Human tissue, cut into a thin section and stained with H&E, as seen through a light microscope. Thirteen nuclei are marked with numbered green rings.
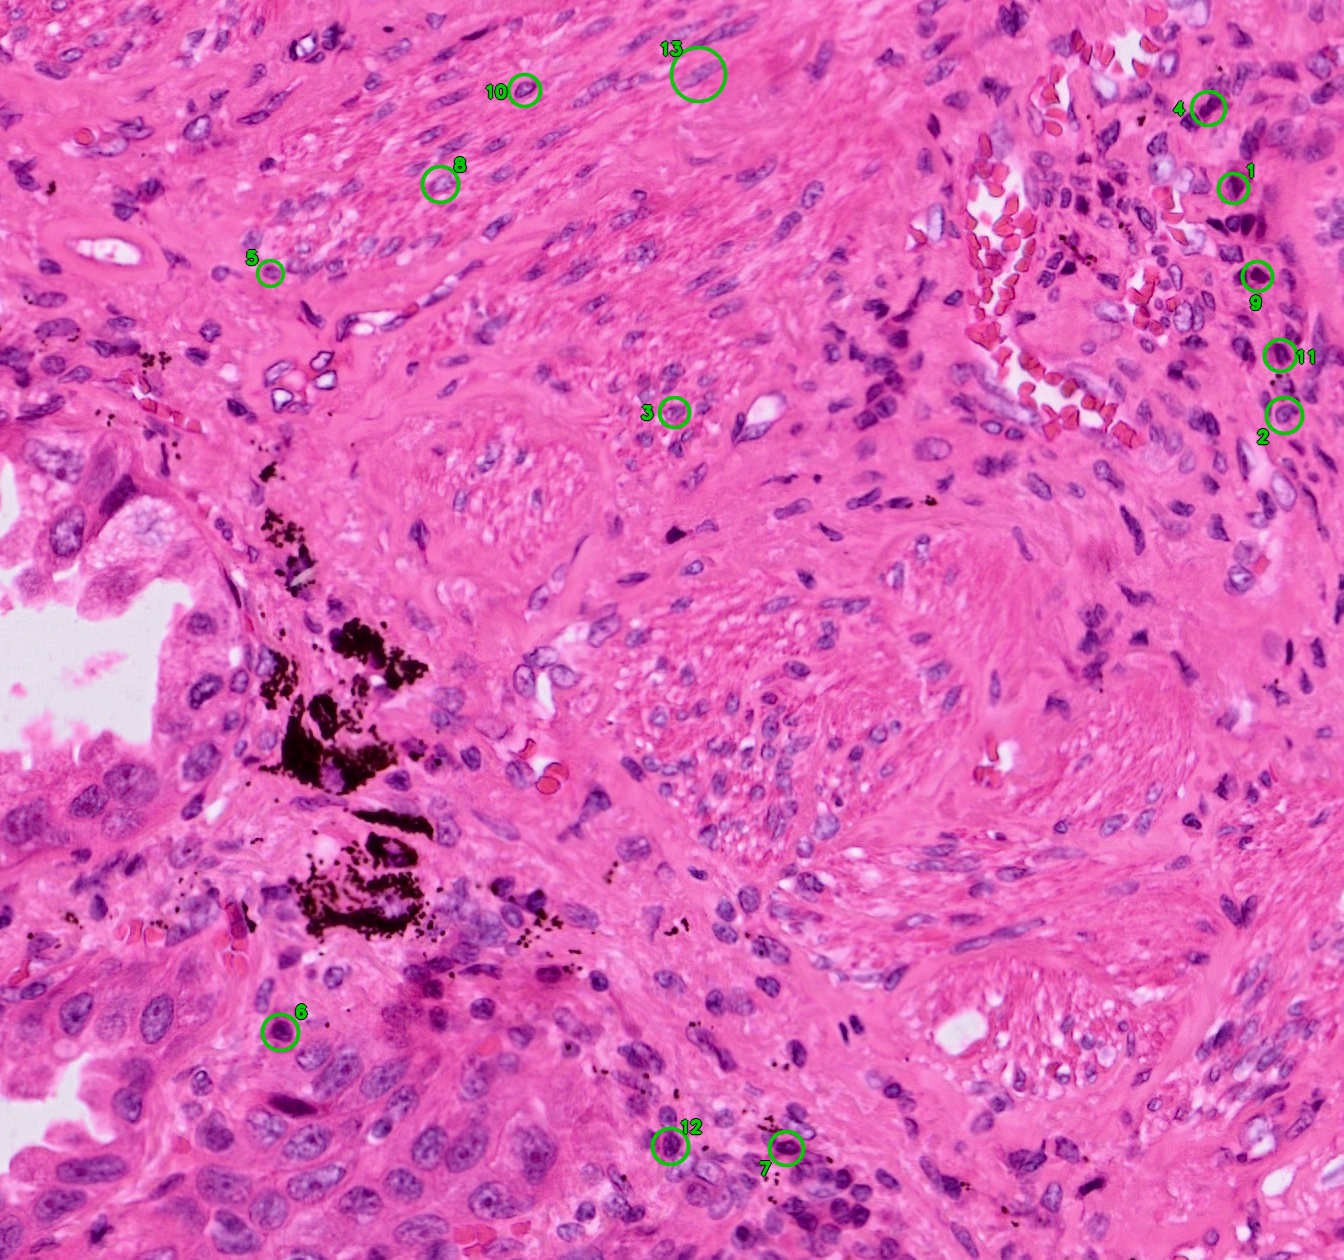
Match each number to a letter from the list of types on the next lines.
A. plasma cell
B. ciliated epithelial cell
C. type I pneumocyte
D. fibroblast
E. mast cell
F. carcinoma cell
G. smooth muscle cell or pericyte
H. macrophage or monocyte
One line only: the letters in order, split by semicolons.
A; E; G; A; E; A; A; G; A; E; A; A; G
